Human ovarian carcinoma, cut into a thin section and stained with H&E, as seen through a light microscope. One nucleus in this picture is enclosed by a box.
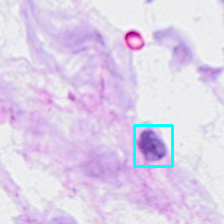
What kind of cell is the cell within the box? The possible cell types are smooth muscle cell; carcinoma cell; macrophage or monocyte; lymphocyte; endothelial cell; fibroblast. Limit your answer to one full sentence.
By its classification, the cell within the box is a fibroblast.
